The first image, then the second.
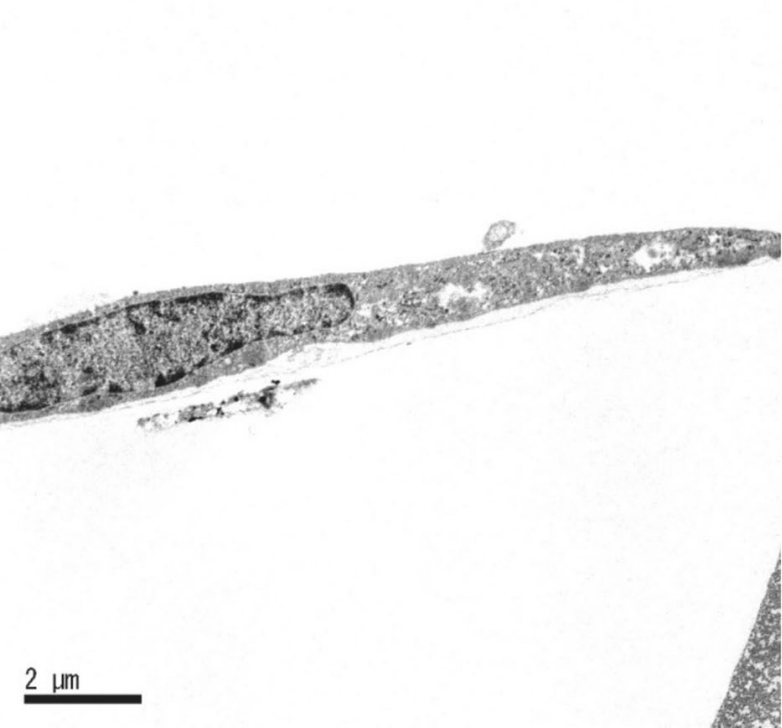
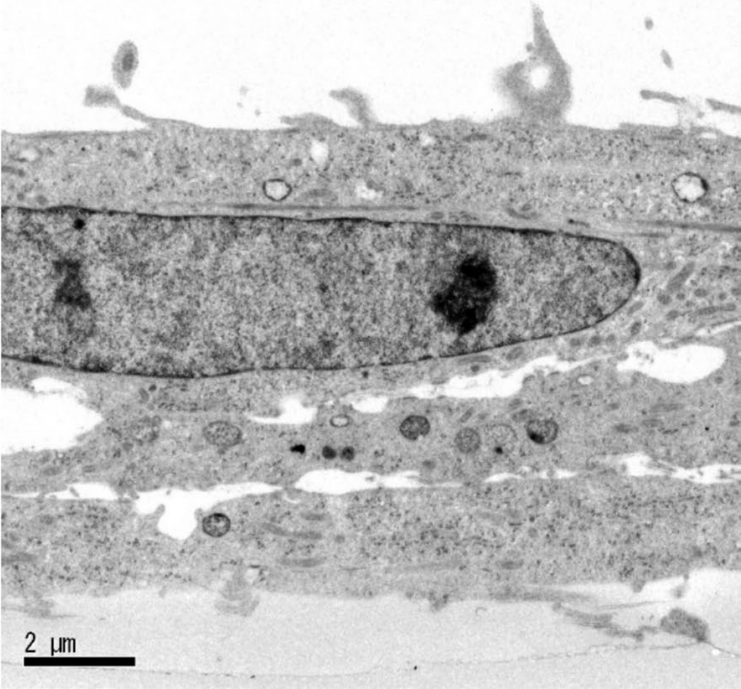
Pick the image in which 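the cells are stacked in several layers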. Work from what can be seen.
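First image: a single thin elongated cell lies alone on the substrate. Second image: several broad elongated cells lie stacked on top of one another. So: the second image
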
